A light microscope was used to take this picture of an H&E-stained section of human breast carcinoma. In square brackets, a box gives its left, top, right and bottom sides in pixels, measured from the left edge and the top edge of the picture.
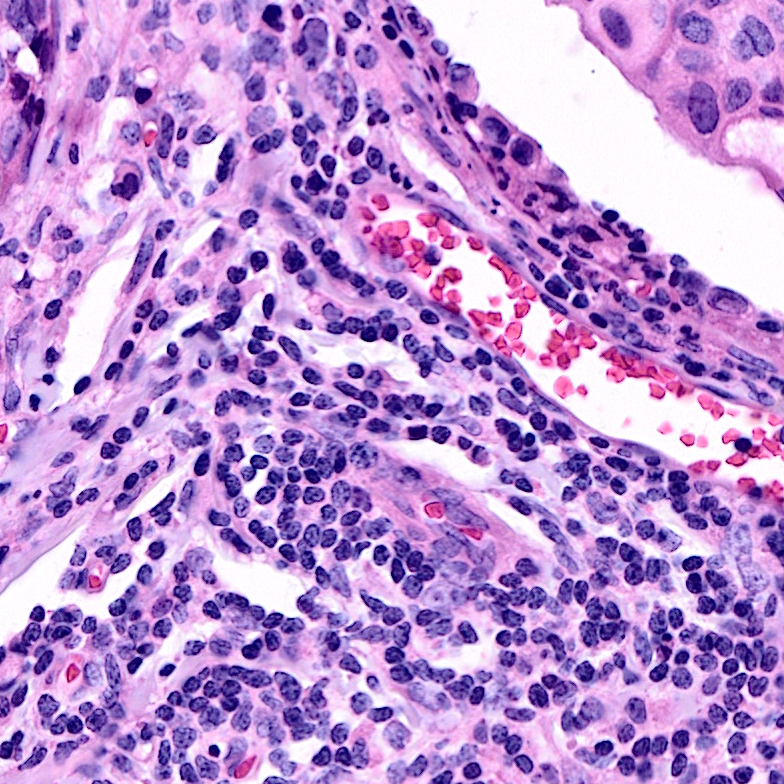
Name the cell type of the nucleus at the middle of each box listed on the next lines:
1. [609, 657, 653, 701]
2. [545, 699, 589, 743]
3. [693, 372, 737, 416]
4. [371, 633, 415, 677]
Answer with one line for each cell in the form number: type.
1: lymphocyte
2: lymphocyte
3: endothelial cell
4: lymphocyte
